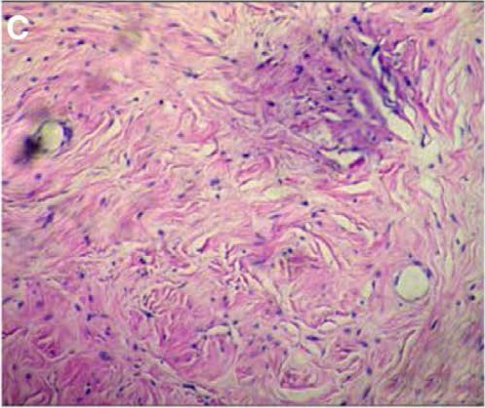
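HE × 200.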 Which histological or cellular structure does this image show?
Glassy, collagenized stroma.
